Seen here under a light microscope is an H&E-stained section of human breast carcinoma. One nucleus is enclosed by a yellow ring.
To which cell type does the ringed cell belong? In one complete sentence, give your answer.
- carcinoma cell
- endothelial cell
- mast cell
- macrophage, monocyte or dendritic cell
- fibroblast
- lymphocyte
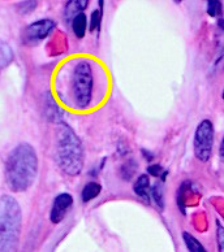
Cytologically, the ringed cell is to be regarded as a mast cell.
